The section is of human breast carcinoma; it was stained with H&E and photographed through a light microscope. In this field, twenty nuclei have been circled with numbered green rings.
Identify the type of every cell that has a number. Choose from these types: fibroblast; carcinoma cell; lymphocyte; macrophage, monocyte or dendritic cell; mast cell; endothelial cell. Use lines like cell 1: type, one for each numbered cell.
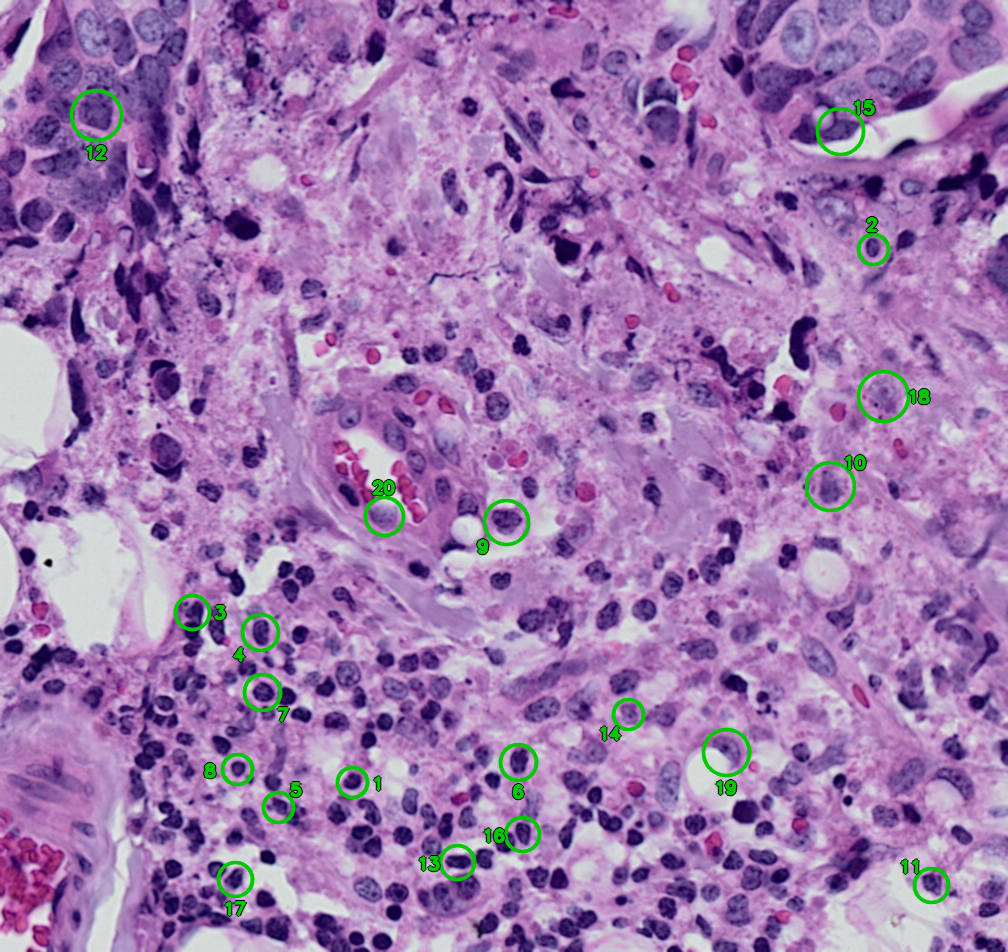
cell 1: lymphocyte
cell 2: mast cell
cell 3: lymphocyte
cell 4: lymphocyte
cell 5: lymphocyte
cell 6: lymphocyte
cell 7: lymphocyte
cell 8: lymphocyte
cell 9: macrophage, monocyte or dendritic cell
cell 10: macrophage, monocyte or dendritic cell
cell 11: lymphocyte
cell 12: carcinoma cell
cell 13: lymphocyte
cell 14: macrophage, monocyte or dendritic cell
cell 15: carcinoma cell
cell 16: lymphocyte
cell 17: lymphocyte
cell 18: fibroblast
cell 19: endothelial cell
cell 20: endothelial cell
